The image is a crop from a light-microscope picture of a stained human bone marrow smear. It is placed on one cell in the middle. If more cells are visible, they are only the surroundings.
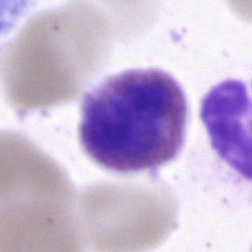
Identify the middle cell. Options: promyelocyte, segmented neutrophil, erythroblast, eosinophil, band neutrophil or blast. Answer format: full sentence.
Centrally within this crop lies an eosinophil.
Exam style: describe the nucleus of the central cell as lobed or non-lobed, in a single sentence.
Round, oval or kidney-shaped, the nucleus is one compact mass.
